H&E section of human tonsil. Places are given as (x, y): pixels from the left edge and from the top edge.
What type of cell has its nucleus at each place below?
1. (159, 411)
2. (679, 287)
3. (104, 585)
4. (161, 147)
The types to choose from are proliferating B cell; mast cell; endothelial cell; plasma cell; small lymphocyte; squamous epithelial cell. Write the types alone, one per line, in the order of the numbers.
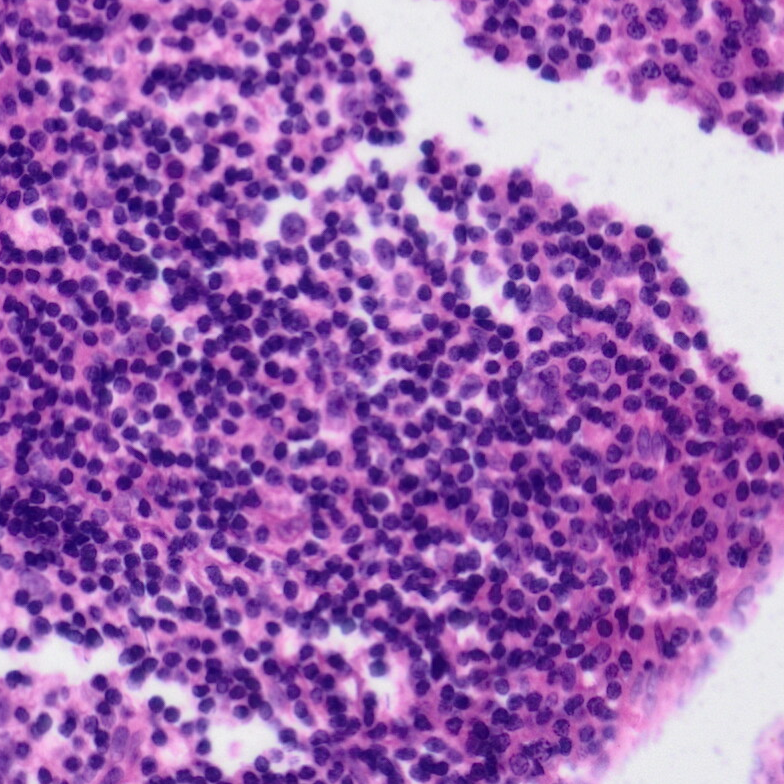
small lymphocyte
plasma cell
small lymphocyte
small lymphocyte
